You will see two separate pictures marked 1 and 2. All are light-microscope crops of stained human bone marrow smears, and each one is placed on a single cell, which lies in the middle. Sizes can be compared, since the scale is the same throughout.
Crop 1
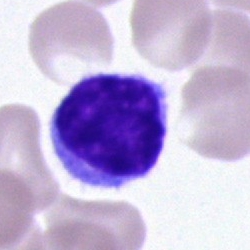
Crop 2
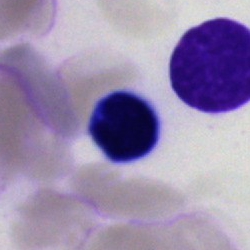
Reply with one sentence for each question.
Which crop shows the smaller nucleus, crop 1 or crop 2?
It is the nucleus in crop 2; the one in crop 1 has about 2.5 times its area.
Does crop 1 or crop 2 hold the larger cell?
It is the cell in crop 1, about 2.5 times as large in area as the cell in crop 2.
